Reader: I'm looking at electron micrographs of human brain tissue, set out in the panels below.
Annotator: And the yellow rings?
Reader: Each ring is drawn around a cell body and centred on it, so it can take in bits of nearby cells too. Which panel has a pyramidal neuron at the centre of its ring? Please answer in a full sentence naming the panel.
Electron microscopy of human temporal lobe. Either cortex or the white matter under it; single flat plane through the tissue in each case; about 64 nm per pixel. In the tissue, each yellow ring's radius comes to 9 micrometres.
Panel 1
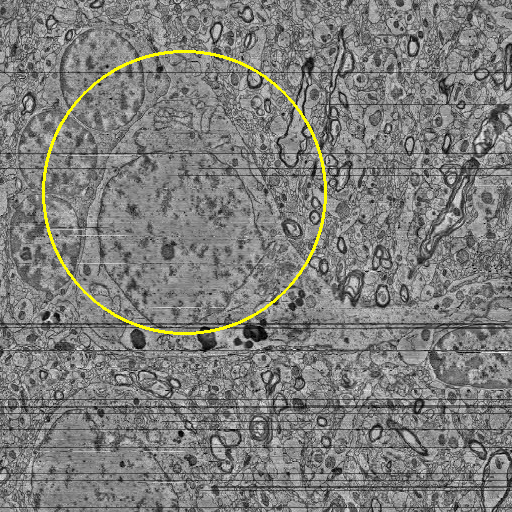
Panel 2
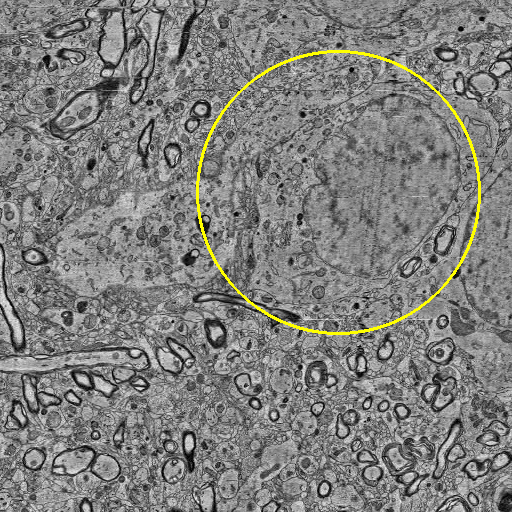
Panel 1 has it at the centre of its ring.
